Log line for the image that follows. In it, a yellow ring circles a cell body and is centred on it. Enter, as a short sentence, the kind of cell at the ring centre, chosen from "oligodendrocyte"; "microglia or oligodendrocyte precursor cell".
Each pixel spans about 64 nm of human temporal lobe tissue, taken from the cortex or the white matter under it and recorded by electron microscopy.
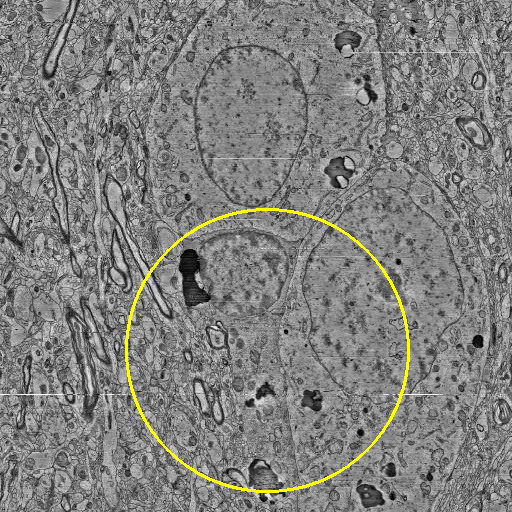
The ring centre is occupied by an oligodendrocyte.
